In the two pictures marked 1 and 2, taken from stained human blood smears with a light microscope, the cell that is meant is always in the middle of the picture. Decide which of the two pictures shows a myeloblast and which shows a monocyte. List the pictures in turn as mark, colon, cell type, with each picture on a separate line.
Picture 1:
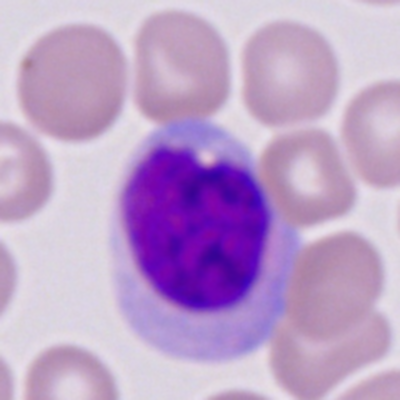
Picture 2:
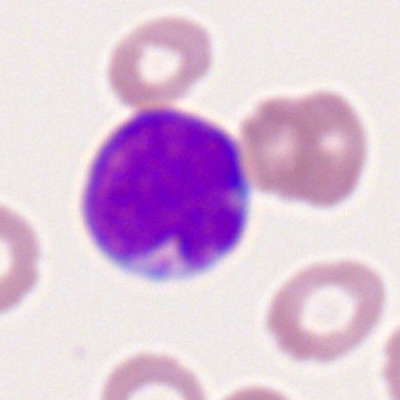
1: monocyte
2: myeloblast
